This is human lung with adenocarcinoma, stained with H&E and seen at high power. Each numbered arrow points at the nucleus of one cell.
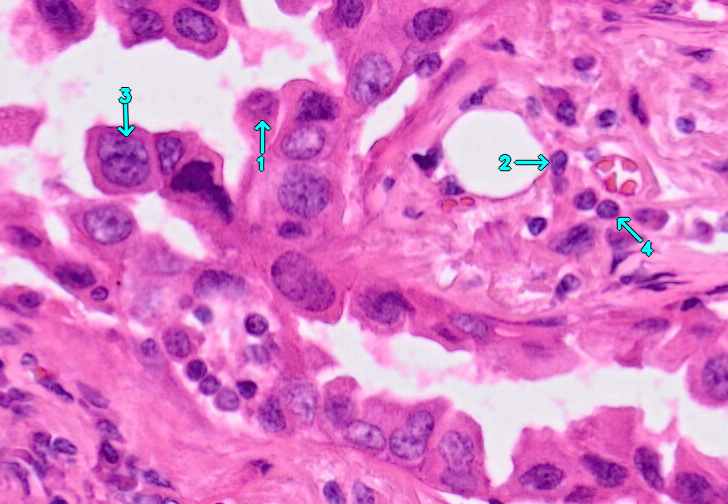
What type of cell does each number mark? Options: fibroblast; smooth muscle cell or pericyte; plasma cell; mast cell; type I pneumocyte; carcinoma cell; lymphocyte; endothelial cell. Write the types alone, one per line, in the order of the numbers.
carcinoma cell
lymphocyte
carcinoma cell
lymphocyte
